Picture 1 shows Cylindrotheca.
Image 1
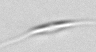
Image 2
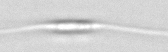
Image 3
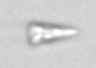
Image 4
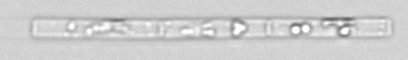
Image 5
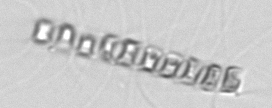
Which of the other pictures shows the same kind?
Picture 2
